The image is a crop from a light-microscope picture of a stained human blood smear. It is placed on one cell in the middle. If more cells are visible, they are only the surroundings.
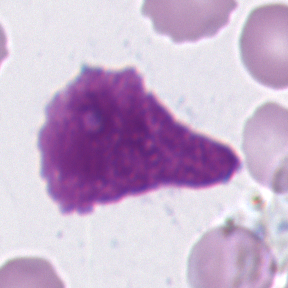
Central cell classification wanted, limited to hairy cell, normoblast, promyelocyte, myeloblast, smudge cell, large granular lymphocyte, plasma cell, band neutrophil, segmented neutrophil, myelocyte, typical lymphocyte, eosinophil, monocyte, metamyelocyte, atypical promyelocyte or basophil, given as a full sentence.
The cell sitting right in the middle is a smudge cell.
